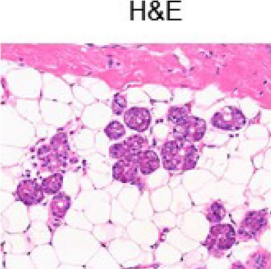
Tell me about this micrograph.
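Non-tumor tissue dominated by large, empty-looking fat cells with thin pink membranes. Scattered among the fat cells are small lobular clusters of glandular epithelium with dark purple nuclei and purple cytoplasm. Some clusters form small ducts lined by ductal epithelial cells around tiny lumens. A band of dense pink fibrous connective tissue runs along the top edge.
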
